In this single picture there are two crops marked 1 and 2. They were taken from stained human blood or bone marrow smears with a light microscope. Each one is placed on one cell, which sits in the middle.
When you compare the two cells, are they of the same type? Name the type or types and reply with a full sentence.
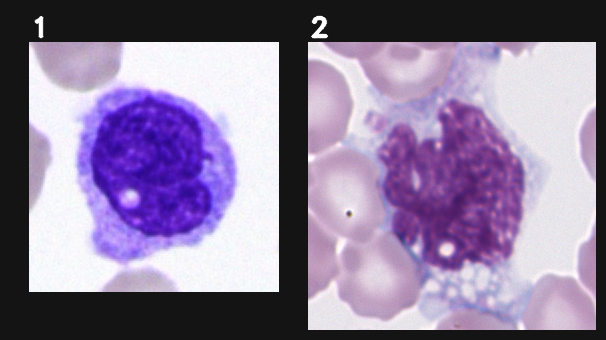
Yes, both crops show monocytes, to put it briefly.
